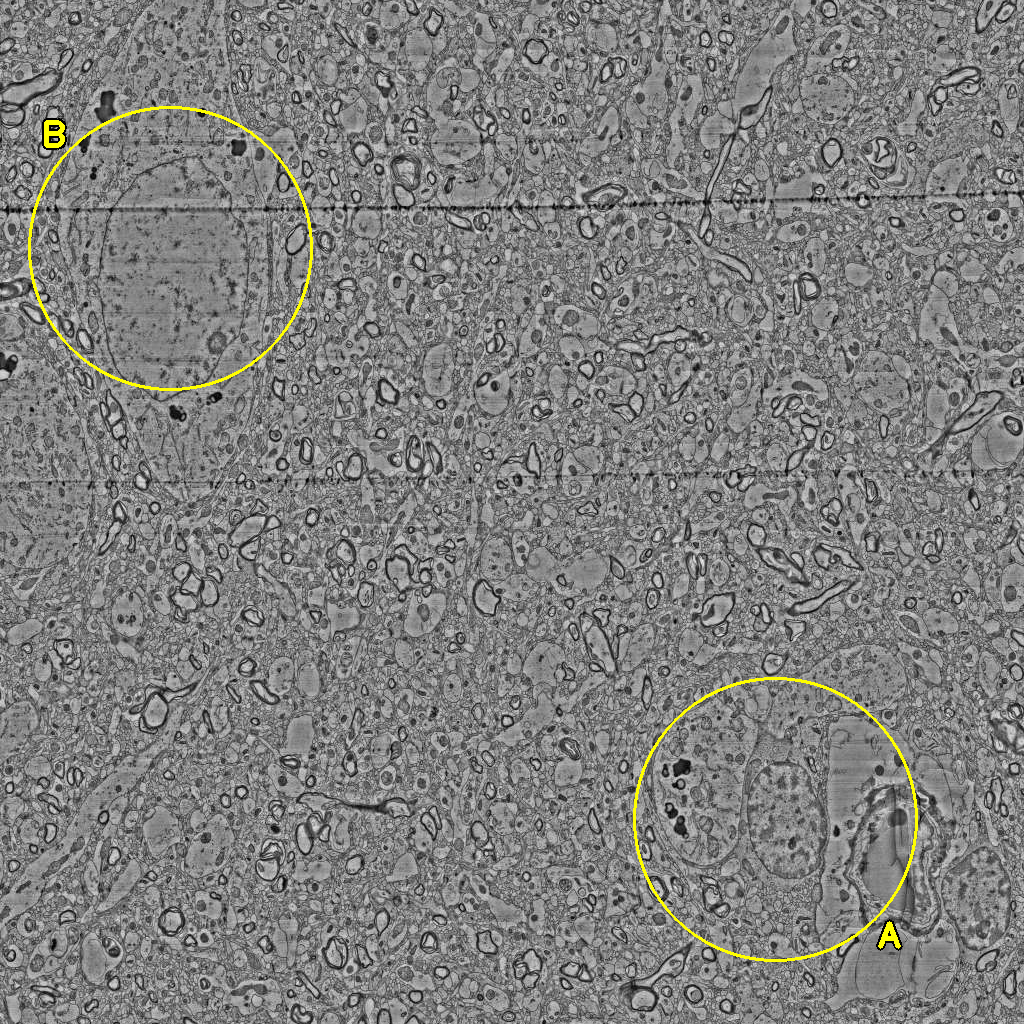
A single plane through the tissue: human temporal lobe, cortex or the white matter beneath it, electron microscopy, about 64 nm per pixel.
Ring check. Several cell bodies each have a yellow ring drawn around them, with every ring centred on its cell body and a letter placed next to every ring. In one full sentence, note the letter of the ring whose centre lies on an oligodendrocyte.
At the centre of ring A lies the cell asked for in this check.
